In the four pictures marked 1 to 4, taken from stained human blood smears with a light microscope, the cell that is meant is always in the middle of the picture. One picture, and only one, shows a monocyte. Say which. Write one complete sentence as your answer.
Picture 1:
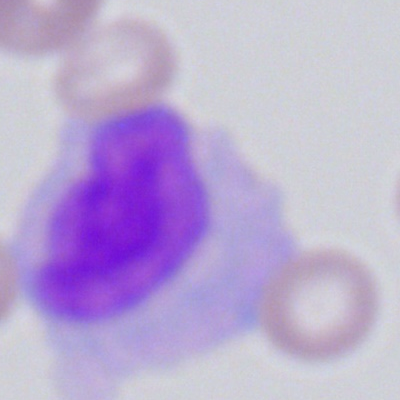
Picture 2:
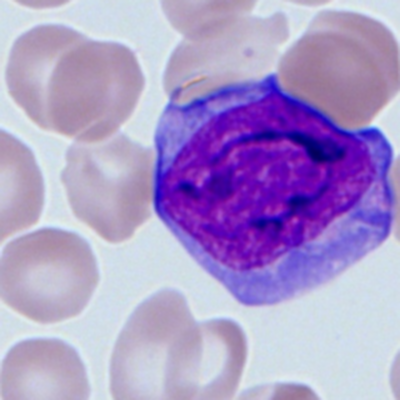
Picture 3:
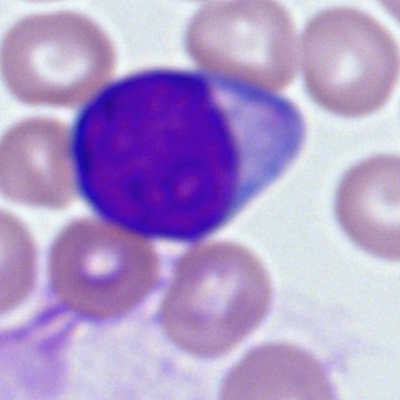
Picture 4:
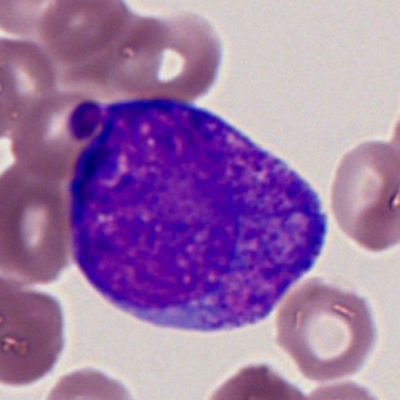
The picture with the monocyte is 1.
